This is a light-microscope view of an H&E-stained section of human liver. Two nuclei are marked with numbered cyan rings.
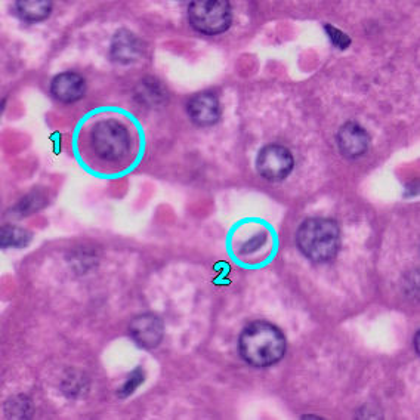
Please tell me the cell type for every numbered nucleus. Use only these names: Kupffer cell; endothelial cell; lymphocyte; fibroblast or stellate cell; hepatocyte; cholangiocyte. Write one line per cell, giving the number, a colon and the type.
1: hepatocyte
2: endothelial cell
